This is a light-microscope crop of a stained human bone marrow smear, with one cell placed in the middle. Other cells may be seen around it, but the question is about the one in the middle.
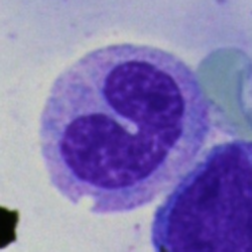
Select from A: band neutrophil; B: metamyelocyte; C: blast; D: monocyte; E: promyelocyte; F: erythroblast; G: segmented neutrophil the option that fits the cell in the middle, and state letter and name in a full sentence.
The one cell at the centre is a band neutrophil, as correctly stated in option A.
